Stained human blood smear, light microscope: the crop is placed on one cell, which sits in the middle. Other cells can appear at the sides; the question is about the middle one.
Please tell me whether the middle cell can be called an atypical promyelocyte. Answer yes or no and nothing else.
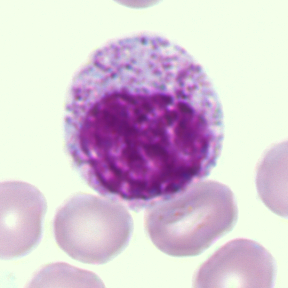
no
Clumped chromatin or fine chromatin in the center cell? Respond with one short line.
Thanks for asking; the chromatin is coarsely clumped.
